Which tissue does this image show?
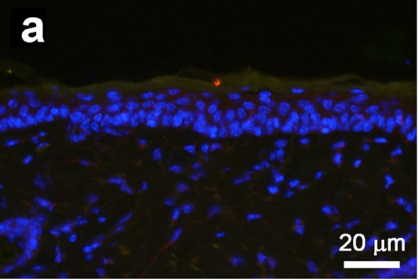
Epidermis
